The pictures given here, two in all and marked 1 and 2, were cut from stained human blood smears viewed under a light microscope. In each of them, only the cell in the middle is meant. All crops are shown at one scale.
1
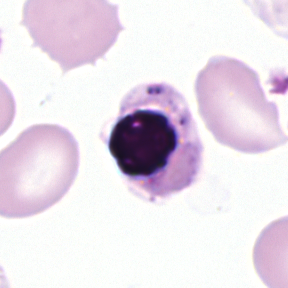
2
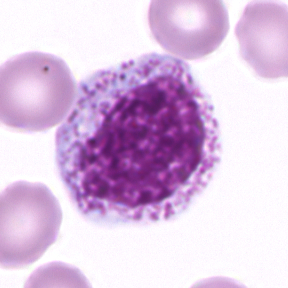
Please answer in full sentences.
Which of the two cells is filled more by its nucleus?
In crop 2 the nucleus takes up the larger part of its cell.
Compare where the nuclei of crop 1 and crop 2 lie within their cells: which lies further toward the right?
The nucleus in crop 2 lies further toward the right of its cell.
